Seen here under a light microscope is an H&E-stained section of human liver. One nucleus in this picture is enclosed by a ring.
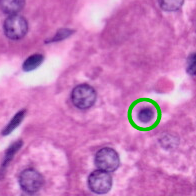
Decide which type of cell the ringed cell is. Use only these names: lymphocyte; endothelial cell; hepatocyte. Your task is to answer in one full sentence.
It is as a lymphocyte that the ringed cell is classified.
